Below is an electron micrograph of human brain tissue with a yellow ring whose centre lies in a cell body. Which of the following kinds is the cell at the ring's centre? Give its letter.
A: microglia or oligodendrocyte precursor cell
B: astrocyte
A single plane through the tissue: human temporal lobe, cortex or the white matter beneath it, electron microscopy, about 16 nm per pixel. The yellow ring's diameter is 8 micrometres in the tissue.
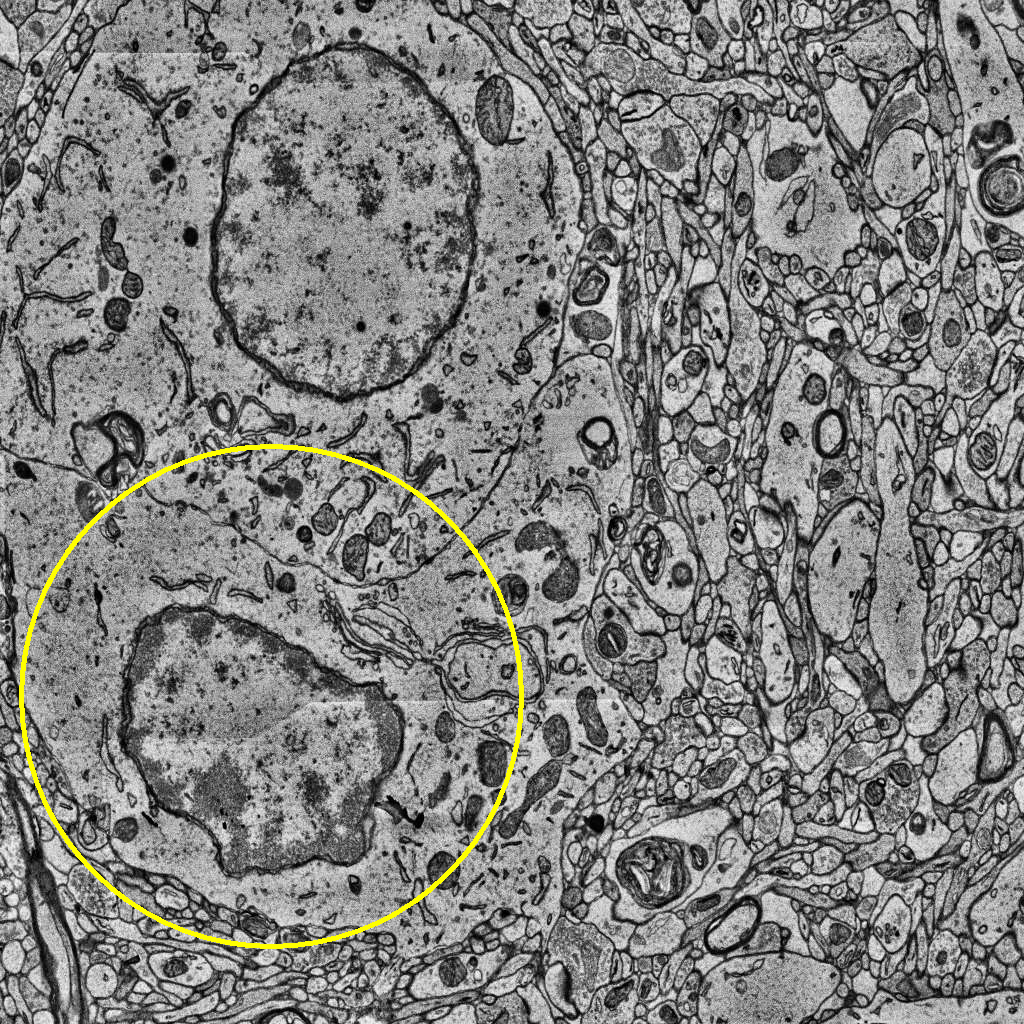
A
